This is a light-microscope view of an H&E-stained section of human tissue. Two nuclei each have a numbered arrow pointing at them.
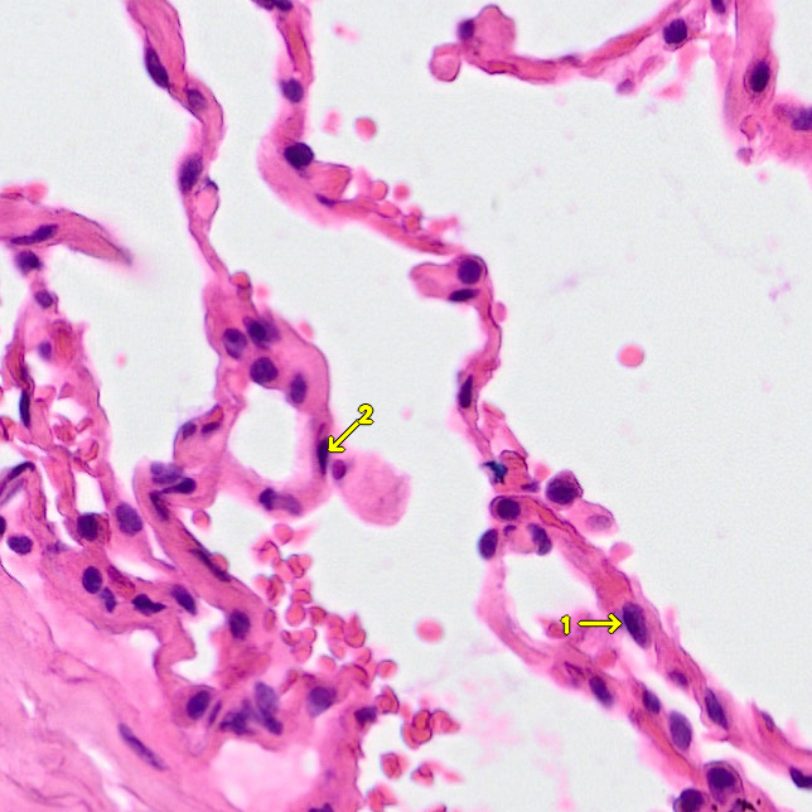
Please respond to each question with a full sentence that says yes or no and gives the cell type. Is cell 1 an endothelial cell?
No, cell 1 should be read as a type I pneumocyte instead of an endothelial cell.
